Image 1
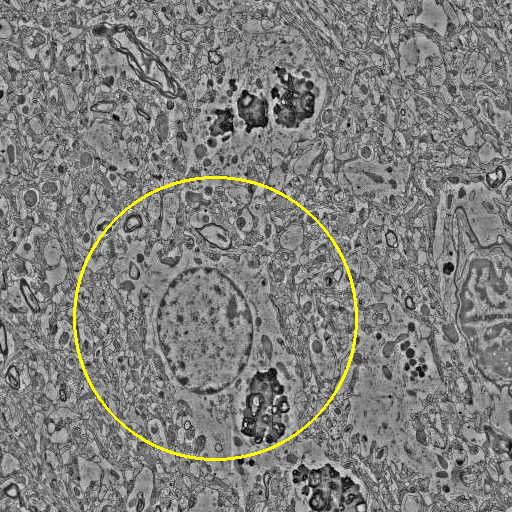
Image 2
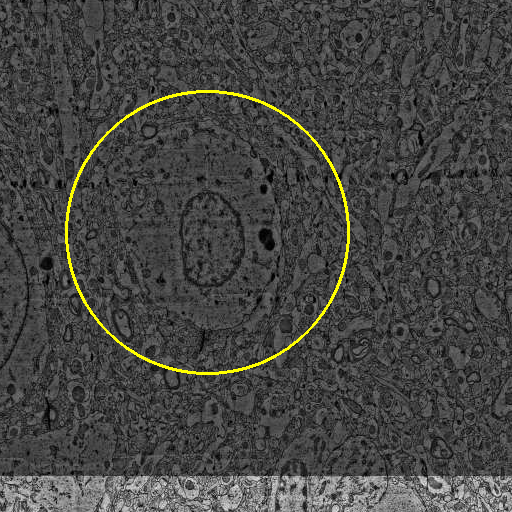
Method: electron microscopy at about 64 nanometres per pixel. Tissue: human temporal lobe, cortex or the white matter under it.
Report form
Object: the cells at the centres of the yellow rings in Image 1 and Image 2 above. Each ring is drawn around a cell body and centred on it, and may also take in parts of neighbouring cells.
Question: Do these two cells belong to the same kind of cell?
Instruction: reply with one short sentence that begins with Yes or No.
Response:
No, they belong to two kinds of cell.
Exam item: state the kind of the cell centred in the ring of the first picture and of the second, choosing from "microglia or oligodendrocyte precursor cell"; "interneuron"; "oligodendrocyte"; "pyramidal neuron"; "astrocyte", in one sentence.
The first picture shows an astrocyte at the ring centre and the second shows a pyramidal neuron.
